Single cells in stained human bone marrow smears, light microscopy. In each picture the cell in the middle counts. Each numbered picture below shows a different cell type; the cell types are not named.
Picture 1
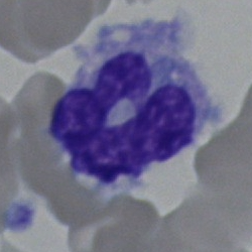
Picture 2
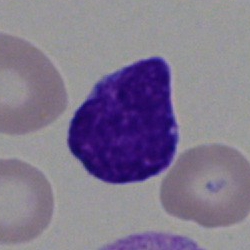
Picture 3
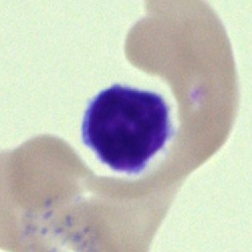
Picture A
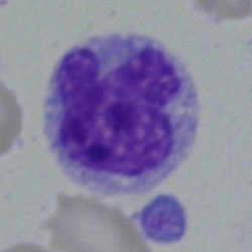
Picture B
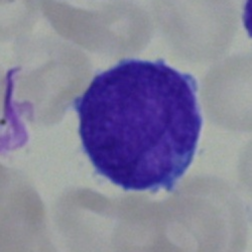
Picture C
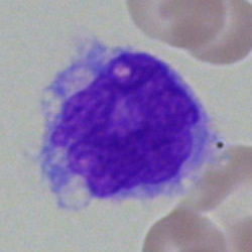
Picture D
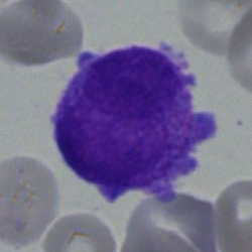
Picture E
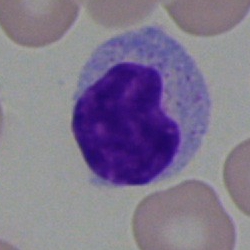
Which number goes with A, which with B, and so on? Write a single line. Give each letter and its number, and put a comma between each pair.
A 1, B 2, C 1, D 2, E 3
